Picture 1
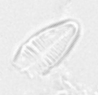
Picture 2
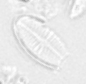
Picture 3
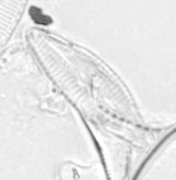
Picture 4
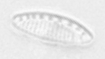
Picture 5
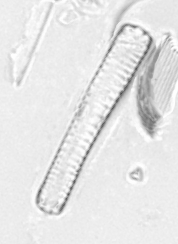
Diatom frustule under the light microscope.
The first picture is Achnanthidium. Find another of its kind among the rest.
Picture 2.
